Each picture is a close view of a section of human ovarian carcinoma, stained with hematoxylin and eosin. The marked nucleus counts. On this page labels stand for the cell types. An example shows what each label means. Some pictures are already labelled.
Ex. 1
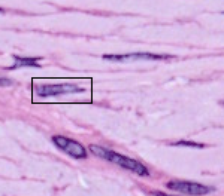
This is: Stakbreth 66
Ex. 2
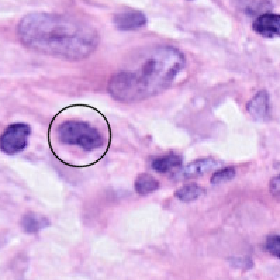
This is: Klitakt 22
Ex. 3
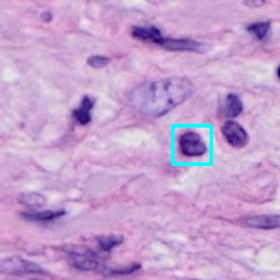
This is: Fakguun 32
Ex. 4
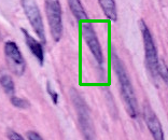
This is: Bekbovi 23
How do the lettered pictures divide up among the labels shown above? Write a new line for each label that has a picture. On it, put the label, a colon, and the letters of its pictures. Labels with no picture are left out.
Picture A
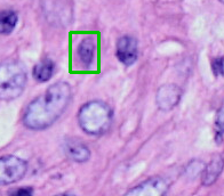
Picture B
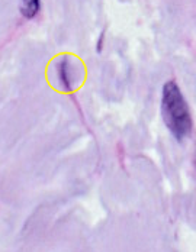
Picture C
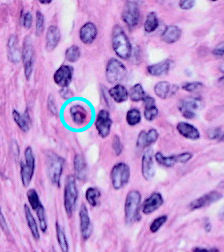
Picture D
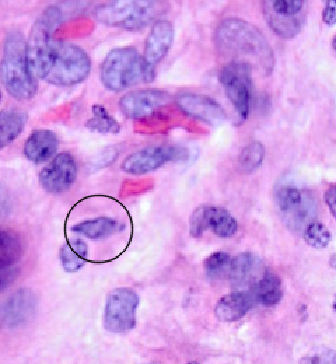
Stakbreth 66: B
Klitakt 22: A, D
Fakguun 32: C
